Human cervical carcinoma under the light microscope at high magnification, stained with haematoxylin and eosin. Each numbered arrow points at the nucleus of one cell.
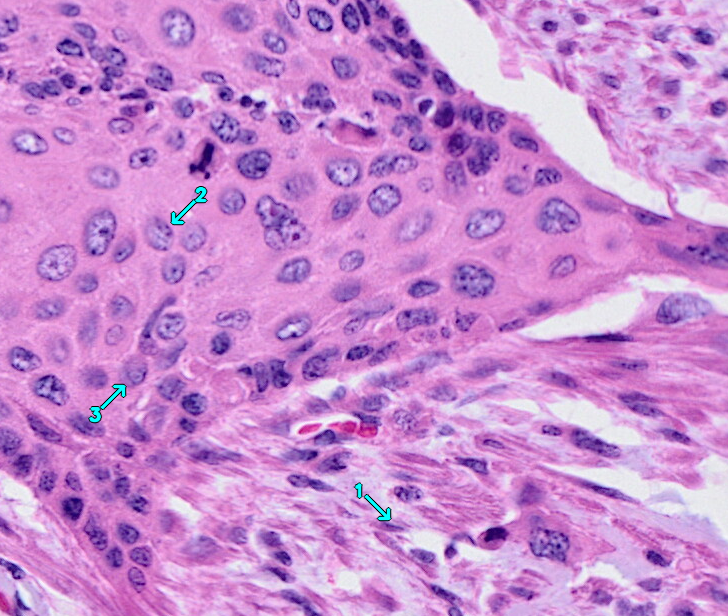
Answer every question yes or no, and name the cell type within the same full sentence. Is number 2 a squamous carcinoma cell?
Yes, the marked cell number 2 is a squamous carcinoma cell.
